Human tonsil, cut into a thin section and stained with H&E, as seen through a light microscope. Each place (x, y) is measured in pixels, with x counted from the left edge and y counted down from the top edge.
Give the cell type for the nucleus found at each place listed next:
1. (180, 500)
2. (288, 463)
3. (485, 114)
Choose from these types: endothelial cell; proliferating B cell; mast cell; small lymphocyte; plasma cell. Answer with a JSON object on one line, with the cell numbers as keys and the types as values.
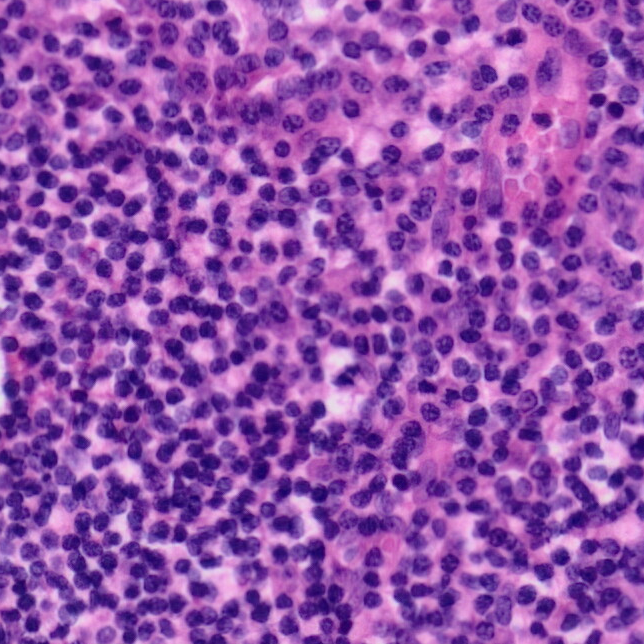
{"1": "small lymphocyte", "2": "small lymphocyte", "3": "plasma cell"}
